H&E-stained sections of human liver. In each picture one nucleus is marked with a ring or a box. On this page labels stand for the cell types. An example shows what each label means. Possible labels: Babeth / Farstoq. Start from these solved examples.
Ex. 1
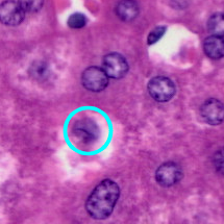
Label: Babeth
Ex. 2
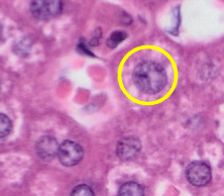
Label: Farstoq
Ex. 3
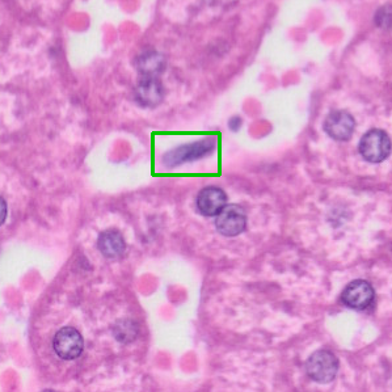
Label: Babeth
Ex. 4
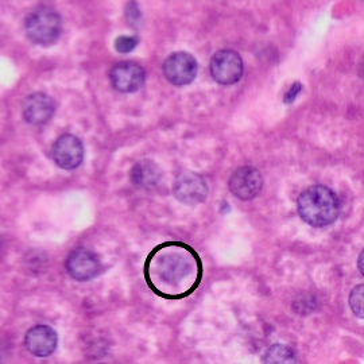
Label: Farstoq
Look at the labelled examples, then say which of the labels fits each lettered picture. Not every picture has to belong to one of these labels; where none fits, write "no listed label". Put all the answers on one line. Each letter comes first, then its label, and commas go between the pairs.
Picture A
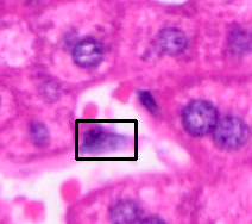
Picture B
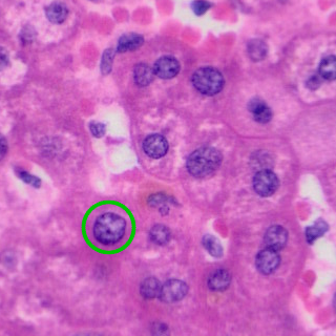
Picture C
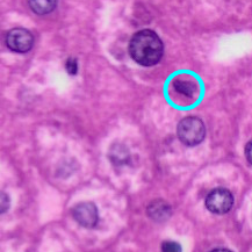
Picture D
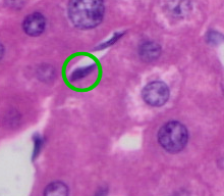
A Babeth, B Farstoq, C no listed label, D no listed label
